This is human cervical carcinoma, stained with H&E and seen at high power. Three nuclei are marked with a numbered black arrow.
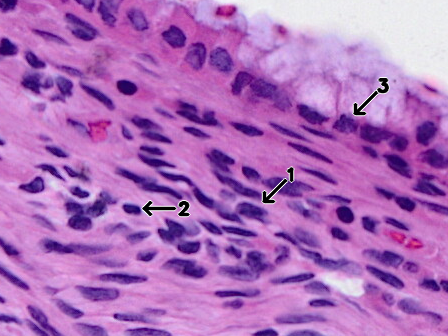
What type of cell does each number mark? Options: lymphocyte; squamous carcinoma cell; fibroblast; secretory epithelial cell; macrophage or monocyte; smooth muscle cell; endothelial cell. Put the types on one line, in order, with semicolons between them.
fibroblast; fibroblast; secretory epithelial cell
